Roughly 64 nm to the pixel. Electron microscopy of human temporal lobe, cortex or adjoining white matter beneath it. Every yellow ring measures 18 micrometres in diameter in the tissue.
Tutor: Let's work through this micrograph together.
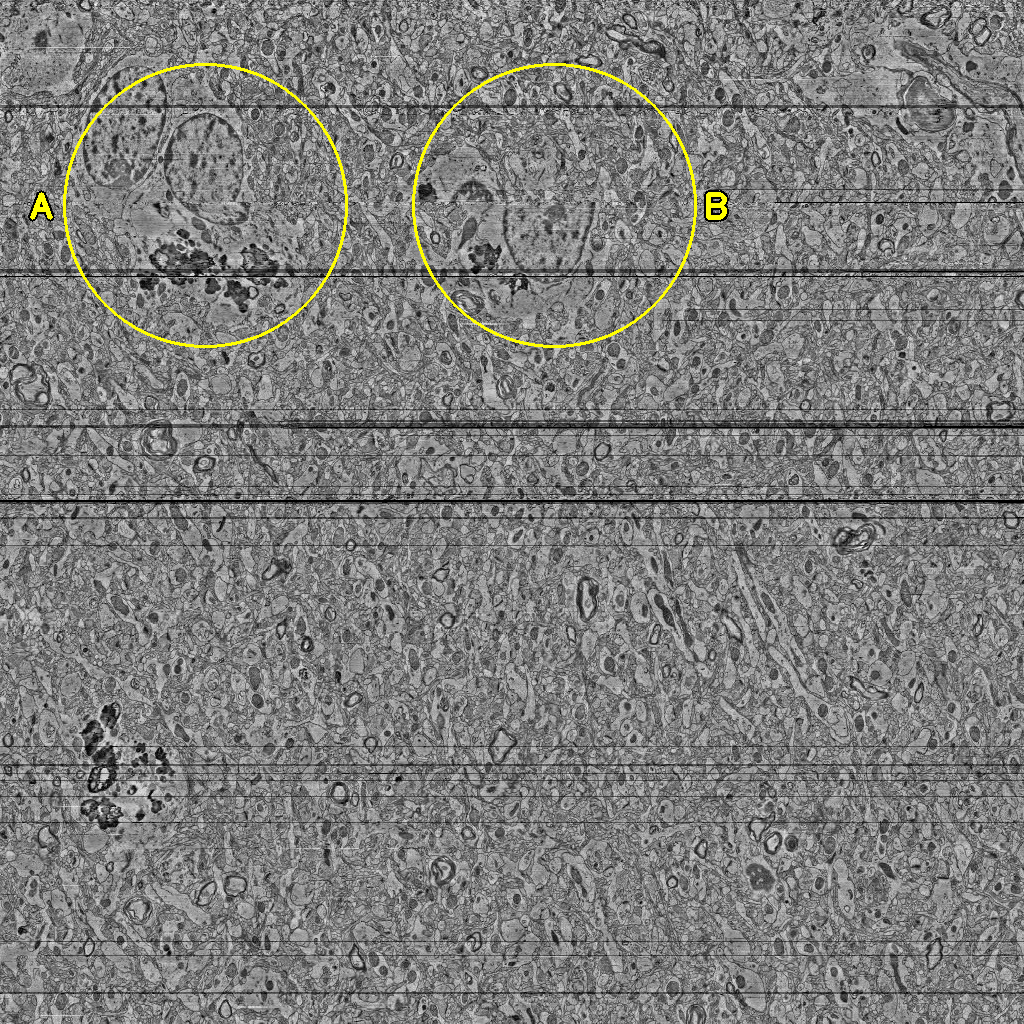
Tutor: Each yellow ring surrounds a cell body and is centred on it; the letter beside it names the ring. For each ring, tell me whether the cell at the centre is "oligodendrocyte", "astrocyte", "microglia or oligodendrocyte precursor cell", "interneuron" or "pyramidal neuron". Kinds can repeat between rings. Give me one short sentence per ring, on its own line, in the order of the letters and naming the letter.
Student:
The ring labelled A is centred on an astrocyte.
The ring labelled B is centred on an astrocyte.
